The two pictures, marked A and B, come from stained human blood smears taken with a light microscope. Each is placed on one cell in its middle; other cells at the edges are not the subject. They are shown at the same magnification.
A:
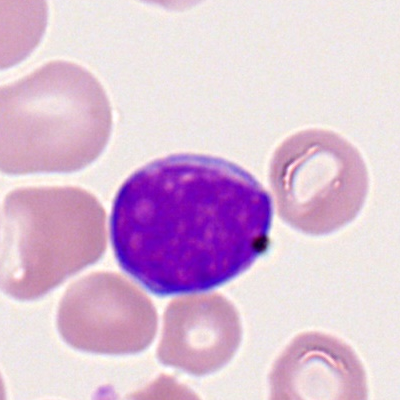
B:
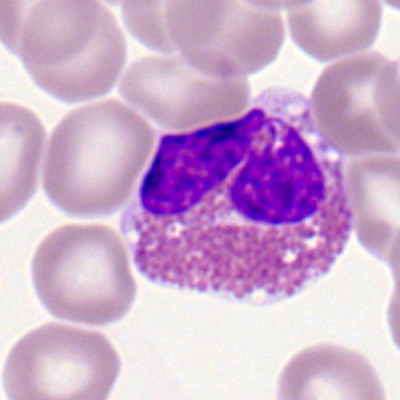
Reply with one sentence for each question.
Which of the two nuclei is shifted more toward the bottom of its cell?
It is the nucleus in picture A that lies further toward the bottom of its cell.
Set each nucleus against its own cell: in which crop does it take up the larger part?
In picture A the nucleus takes up the larger part of its cell.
